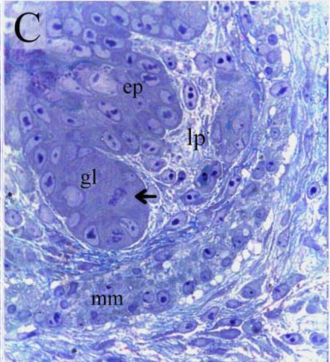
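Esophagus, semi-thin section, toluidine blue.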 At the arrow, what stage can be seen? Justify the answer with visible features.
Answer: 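The arrowed cell inside the cell cluster shows dark condensed chromosomes rather than an intact nucleus.
Hence: Mitotic divisions.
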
